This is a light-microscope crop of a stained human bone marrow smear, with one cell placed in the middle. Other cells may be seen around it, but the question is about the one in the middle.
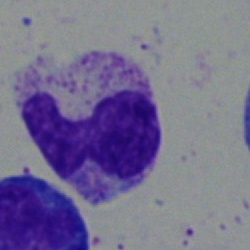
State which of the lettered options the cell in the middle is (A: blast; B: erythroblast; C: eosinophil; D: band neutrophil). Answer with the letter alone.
D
